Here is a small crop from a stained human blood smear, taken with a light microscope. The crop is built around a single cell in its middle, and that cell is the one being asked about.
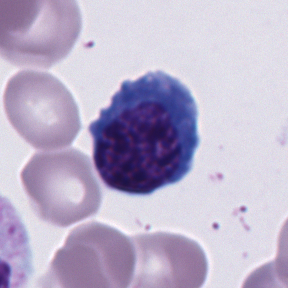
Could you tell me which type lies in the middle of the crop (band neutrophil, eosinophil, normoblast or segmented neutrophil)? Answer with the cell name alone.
normoblast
